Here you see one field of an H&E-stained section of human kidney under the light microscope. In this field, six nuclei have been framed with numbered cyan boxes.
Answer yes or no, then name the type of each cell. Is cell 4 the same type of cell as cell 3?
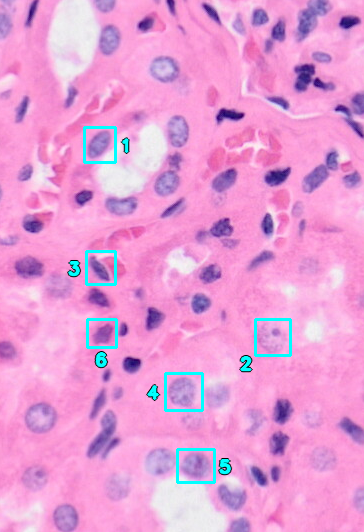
No, cell 4 is a loop of Henle or distal tubule cell and cell 3 is an endothelial cell.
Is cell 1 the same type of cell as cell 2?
No, cell 1 is a loop of Henle or distal tubule cell and cell 2 is a proximal tubule cell.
